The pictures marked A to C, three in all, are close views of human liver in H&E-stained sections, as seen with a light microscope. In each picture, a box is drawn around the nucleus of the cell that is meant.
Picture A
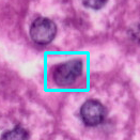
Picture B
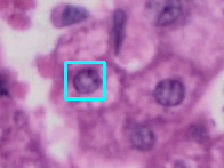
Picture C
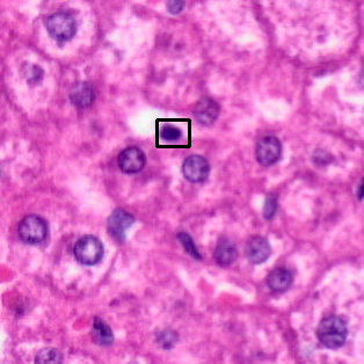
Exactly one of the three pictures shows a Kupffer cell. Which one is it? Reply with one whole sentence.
The picture with the Kupffer cell is A.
